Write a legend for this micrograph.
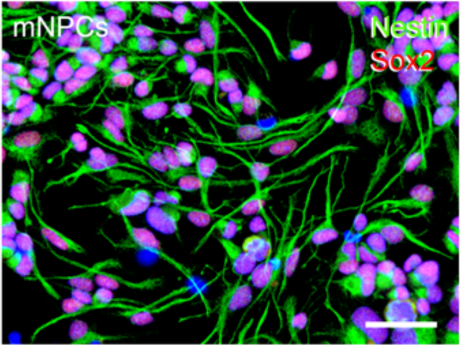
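Green filaments fill the cytoplasm and run out into long, thin, bipolar processes that weave between the cells. The cell bodies lie in loose clusters, with a network of processes in between.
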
